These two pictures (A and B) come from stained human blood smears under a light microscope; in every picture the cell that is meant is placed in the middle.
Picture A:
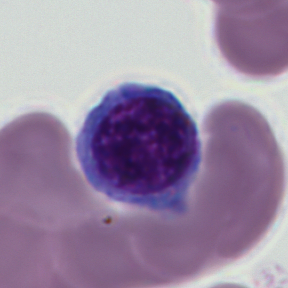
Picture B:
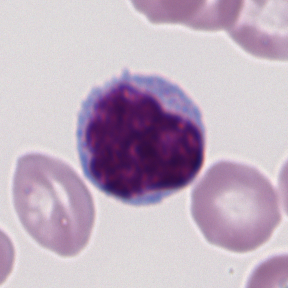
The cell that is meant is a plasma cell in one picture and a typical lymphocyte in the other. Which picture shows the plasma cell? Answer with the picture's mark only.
A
